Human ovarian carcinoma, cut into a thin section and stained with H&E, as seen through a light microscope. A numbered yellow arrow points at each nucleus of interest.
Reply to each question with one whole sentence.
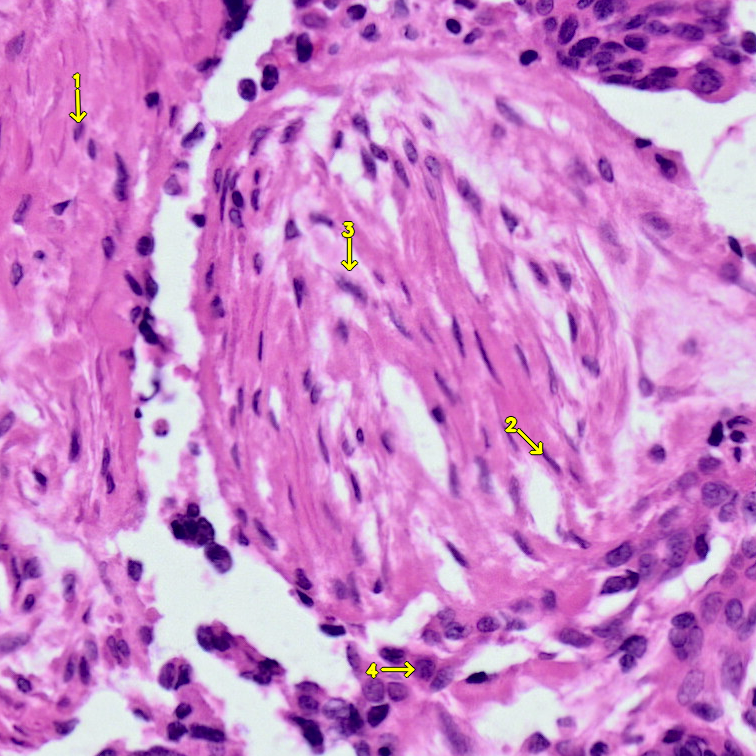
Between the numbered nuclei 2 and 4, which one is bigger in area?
Nucleus 4 covers more area, about 2.5 times as much as nucleus 2.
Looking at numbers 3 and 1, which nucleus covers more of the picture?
Nucleus 3 is larger, with an area about 4 times that of nucleus 1.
